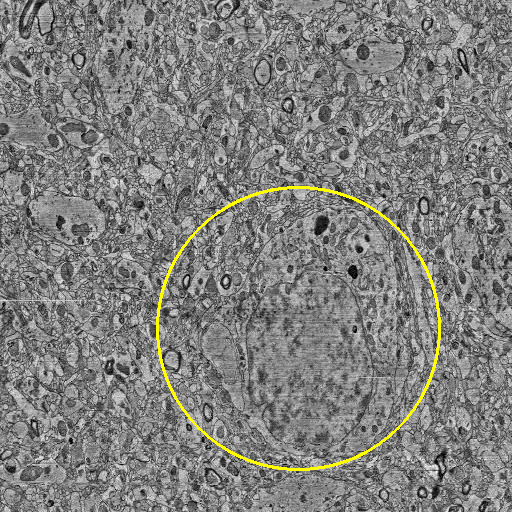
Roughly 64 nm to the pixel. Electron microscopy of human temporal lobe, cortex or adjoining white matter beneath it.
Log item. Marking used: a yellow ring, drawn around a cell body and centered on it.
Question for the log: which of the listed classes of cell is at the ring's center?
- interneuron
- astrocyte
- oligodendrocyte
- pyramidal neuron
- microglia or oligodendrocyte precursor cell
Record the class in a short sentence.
At the center of the ring lies an interneuron.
